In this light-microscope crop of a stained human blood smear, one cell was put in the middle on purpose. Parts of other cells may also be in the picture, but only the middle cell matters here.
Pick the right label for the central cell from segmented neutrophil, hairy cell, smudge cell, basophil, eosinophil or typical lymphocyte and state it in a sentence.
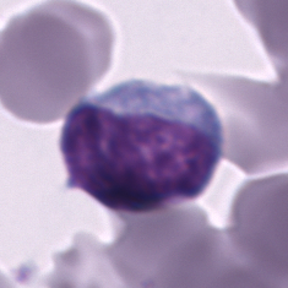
To answer, the cell in the center of the crop is a typical lymphocyte.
